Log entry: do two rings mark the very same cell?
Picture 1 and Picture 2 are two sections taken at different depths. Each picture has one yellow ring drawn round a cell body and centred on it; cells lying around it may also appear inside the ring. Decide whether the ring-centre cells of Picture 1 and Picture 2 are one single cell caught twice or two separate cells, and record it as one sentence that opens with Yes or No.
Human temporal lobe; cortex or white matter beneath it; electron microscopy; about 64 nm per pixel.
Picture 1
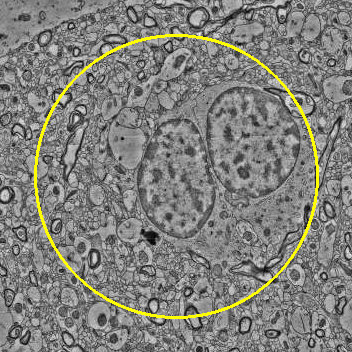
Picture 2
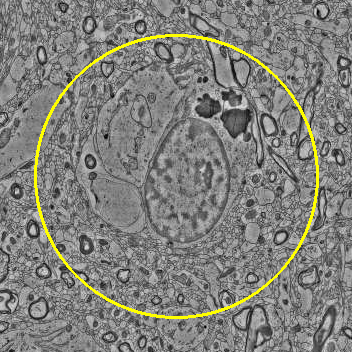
No, a different cell sits inside each of the two rings.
